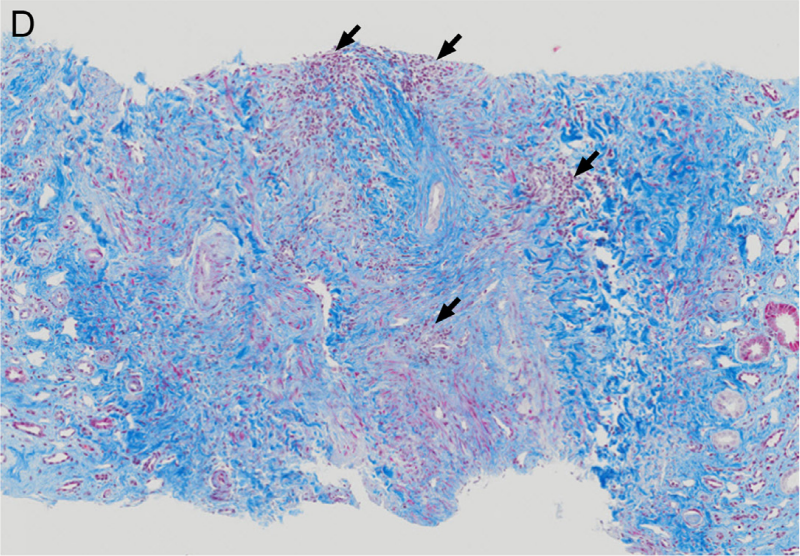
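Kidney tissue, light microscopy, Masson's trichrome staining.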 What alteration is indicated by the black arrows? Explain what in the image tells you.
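Inflammatory cell infiltration. The arrows point to dense clusters of small cells with dark purple round nuclei. The clusters lie within blue-stained fibrous tissue.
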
